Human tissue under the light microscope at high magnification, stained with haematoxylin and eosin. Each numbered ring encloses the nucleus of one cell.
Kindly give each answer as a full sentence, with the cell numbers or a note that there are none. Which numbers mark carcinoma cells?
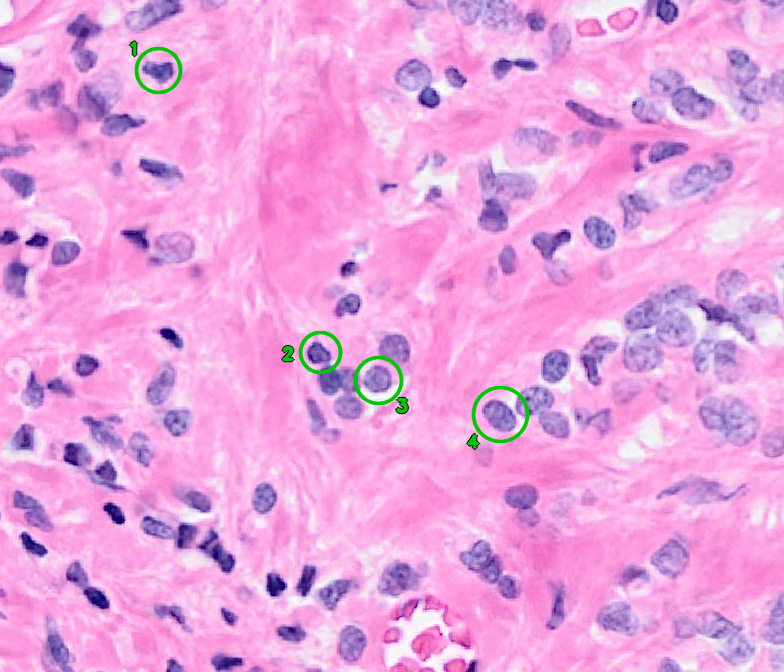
Cells 3 and 4 are carcinoma cells by cell type.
